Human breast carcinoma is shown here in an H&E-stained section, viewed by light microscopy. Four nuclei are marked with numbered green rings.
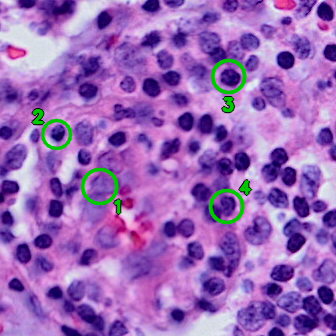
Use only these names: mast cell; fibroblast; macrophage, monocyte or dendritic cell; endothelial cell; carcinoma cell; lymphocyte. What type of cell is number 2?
lymphocyte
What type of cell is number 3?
lymphocyte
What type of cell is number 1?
endothelial cell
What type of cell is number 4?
lymphocyte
